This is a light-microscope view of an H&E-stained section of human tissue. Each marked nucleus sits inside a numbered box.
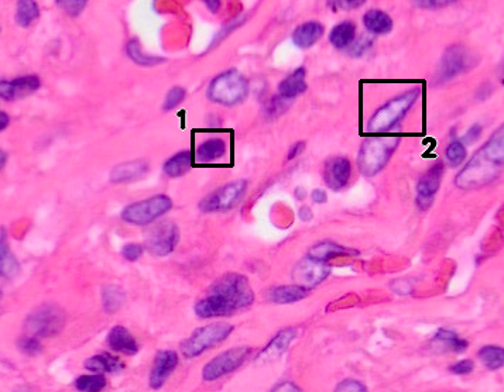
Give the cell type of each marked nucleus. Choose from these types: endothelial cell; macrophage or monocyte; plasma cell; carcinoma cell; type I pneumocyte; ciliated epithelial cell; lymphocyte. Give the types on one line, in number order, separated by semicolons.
lymphocyte; endothelial cell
